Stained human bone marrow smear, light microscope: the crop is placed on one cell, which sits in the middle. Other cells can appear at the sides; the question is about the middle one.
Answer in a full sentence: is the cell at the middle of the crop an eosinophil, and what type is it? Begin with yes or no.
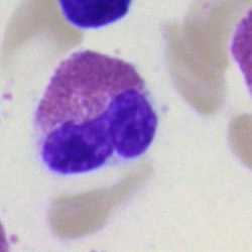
Yes, the cell in the middle of the view is an eosinophil.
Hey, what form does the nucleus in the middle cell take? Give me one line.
If you check the nucleus, you will find it split into two or more lobes.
